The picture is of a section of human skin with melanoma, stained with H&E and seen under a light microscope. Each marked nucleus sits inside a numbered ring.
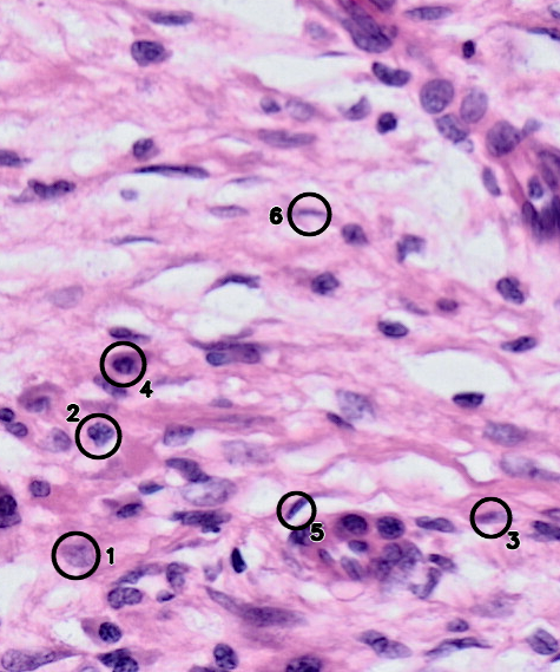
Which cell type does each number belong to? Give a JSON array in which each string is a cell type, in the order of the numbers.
["fibroblast or myofibroblast", "lymphocyte", "fibroblast or myofibroblast", "plasma cell", "fibroblast or myofibroblast", "fibroblast or myofibroblast"]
